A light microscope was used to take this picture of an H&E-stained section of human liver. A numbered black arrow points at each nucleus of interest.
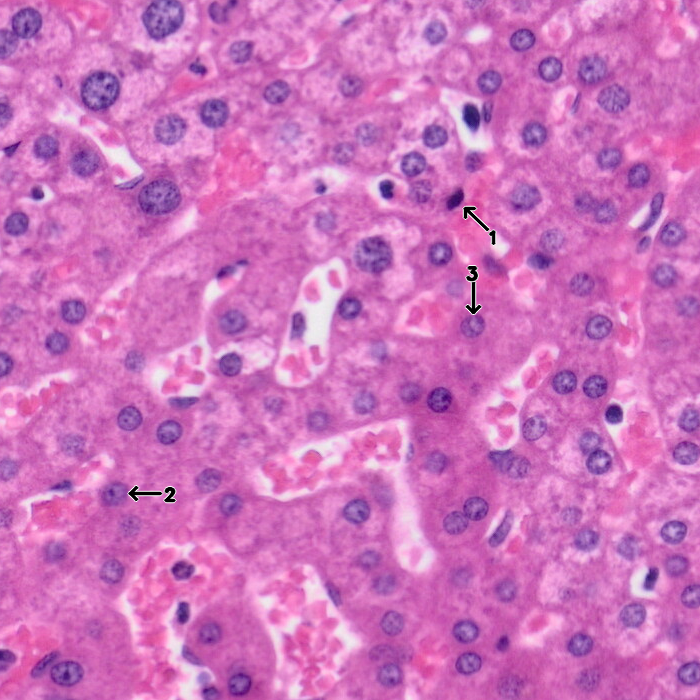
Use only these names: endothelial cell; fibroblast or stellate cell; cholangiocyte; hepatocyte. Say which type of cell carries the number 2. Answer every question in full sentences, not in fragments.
Among the marked nuclei, number 2 belongs to a hepatocyte.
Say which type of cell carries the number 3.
Cell 3, as marked in the section, is a hepatocyte.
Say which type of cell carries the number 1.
The cell identified by the number 1 is a fibroblast or stellate cell.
